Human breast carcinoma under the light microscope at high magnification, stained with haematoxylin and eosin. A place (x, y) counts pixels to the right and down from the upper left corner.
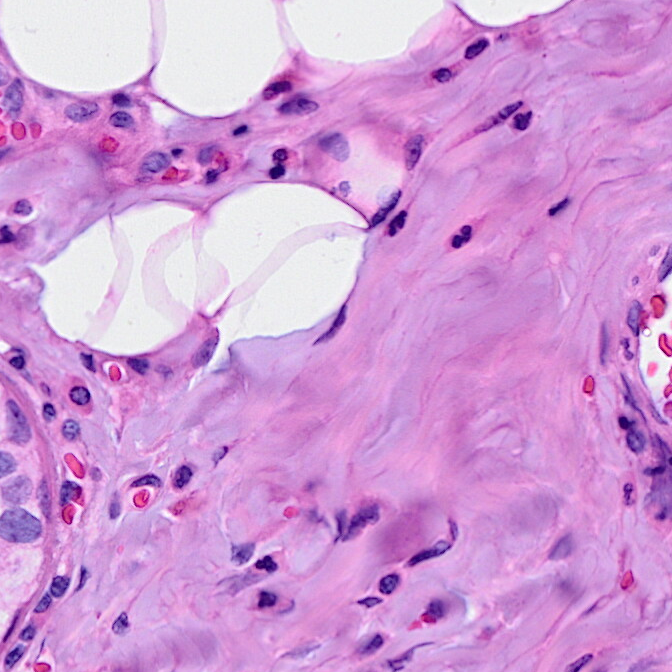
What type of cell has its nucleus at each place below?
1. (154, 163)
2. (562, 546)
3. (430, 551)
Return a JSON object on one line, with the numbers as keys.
{"1": "endothelial cell", "2": "fibroblast", "3": "fibroblast"}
